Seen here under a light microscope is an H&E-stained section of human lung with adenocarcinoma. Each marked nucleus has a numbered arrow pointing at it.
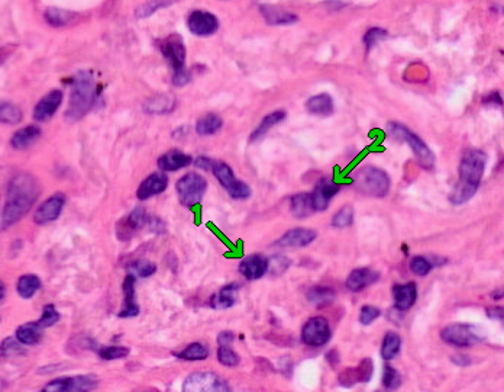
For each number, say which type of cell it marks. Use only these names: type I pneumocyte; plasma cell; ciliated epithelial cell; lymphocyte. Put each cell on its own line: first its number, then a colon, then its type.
1: lymphocyte
2: plasma cell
